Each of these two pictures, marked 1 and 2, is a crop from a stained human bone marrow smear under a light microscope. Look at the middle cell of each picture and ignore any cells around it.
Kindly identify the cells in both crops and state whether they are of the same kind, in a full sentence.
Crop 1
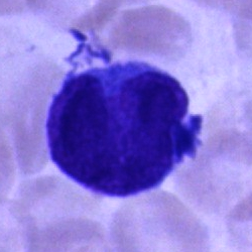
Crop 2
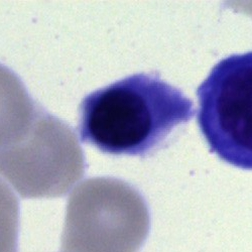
No, cell 1 is a blast, and cell 2 is a normoblast.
